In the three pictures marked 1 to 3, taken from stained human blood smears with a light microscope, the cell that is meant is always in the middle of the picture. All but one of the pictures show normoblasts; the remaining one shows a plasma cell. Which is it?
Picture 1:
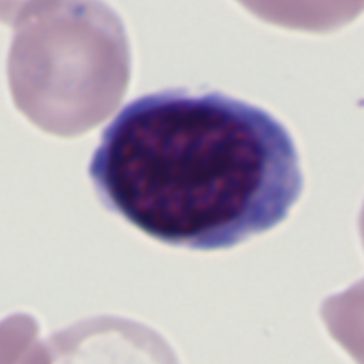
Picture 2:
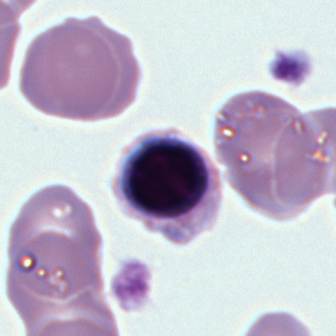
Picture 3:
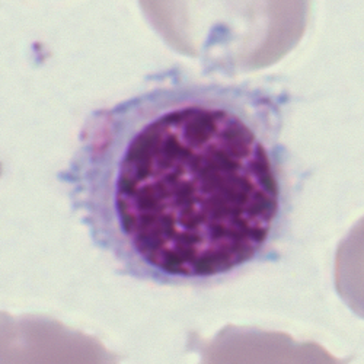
3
